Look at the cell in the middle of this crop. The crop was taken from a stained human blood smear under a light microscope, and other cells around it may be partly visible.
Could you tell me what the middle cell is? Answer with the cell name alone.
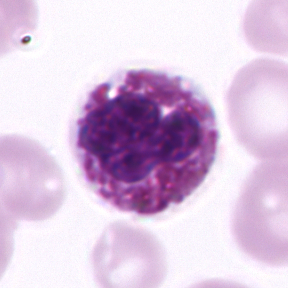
eosinophil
